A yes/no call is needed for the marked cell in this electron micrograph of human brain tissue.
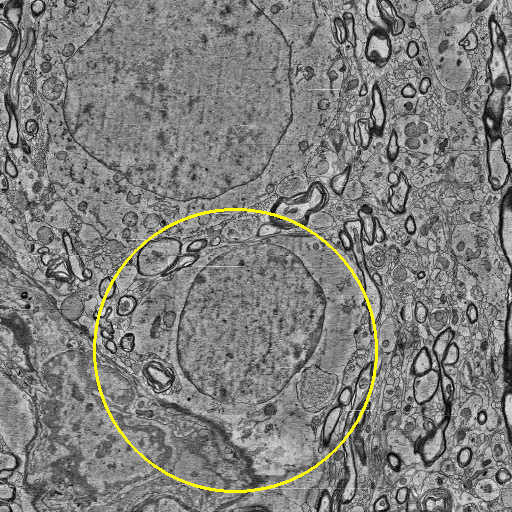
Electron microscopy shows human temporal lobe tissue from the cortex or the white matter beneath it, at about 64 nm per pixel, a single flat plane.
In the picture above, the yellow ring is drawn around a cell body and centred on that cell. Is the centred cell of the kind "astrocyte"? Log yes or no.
yes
